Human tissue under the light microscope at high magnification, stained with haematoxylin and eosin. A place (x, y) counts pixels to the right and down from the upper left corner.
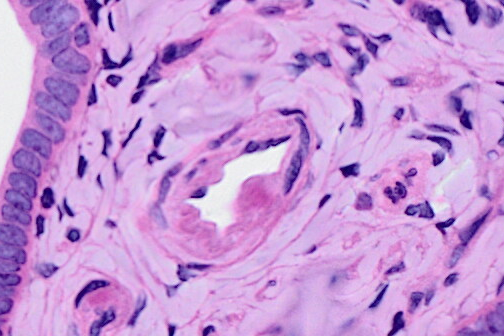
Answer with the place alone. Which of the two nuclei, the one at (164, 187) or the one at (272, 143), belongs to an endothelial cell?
(272, 143)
